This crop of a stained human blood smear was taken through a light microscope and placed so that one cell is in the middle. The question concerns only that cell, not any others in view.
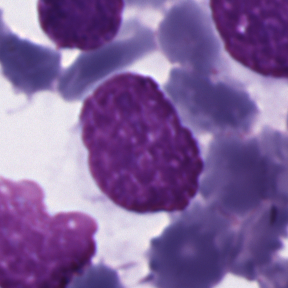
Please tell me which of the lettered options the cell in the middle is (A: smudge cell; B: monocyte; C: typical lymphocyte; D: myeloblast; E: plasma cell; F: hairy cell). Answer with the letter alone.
A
